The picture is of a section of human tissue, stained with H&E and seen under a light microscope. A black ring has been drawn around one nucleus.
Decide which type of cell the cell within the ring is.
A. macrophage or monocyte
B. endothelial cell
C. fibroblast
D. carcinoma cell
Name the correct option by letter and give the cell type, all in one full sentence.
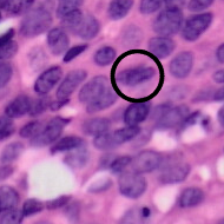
Of the options given, D is right: the cell within the ring is a carcinoma cell.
